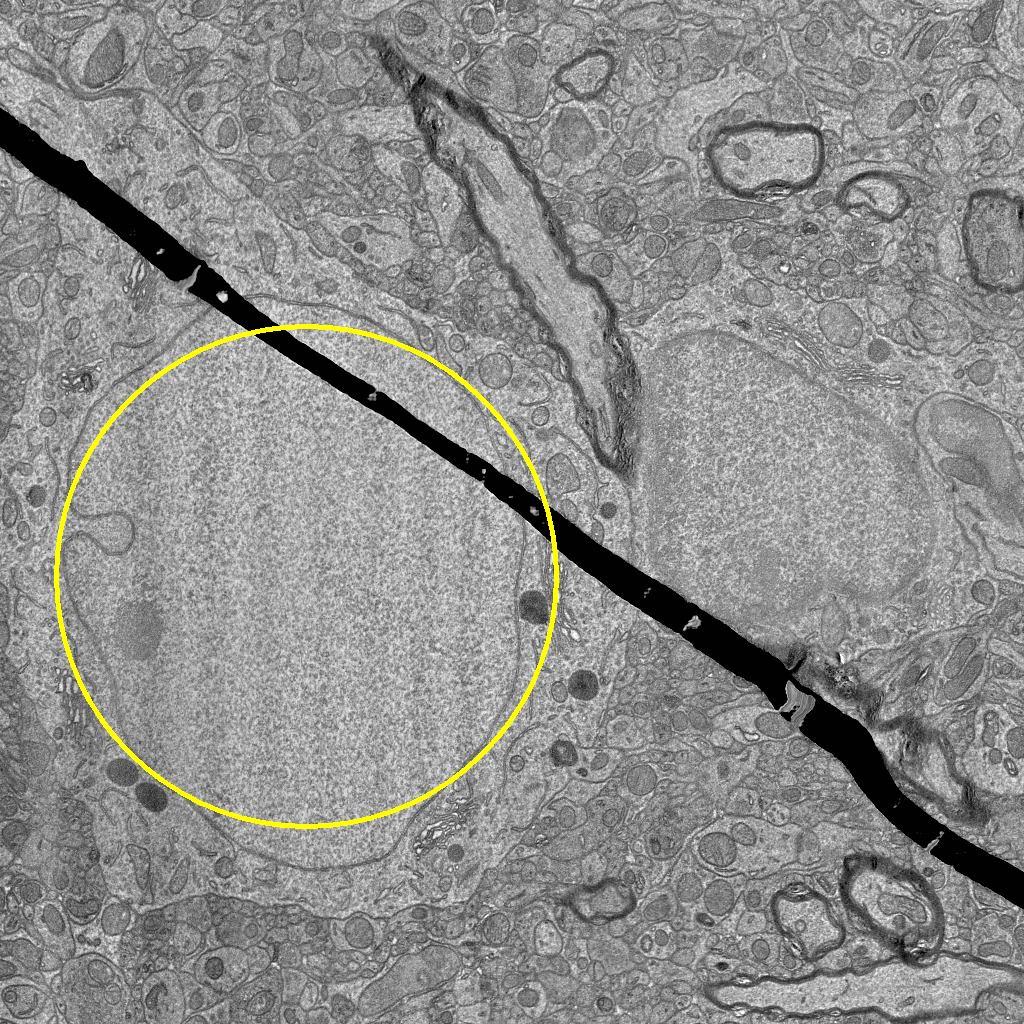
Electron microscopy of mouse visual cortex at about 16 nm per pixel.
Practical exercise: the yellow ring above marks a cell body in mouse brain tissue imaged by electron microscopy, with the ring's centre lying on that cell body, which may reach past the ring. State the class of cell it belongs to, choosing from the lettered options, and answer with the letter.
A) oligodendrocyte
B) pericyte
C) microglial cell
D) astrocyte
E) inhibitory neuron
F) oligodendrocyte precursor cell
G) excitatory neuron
G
